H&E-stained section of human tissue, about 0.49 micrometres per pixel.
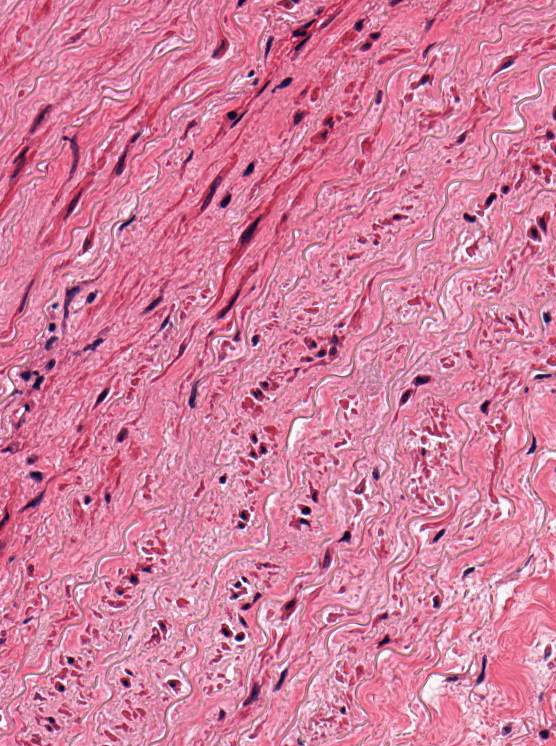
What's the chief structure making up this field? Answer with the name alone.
tunica media of an artery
